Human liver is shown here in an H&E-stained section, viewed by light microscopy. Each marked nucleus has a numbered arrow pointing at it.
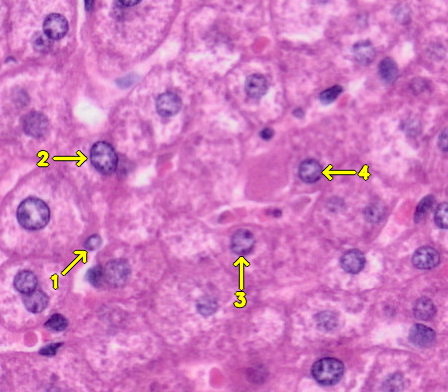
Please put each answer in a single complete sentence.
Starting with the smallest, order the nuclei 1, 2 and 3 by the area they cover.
From smallest to largest, the order is 1, 3, 2.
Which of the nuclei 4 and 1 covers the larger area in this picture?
Of the two, number 4 is bigger and takes up about 2 times the area of number 1.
